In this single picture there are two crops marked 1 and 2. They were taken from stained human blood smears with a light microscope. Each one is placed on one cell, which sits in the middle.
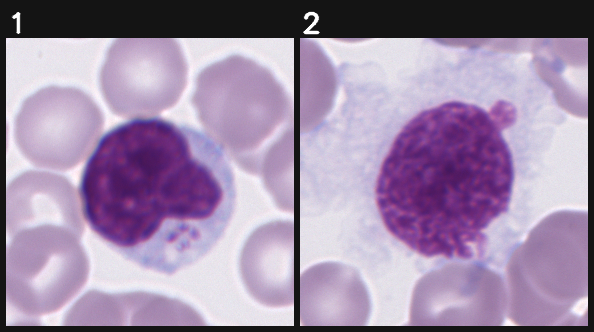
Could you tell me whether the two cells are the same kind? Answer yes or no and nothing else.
no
